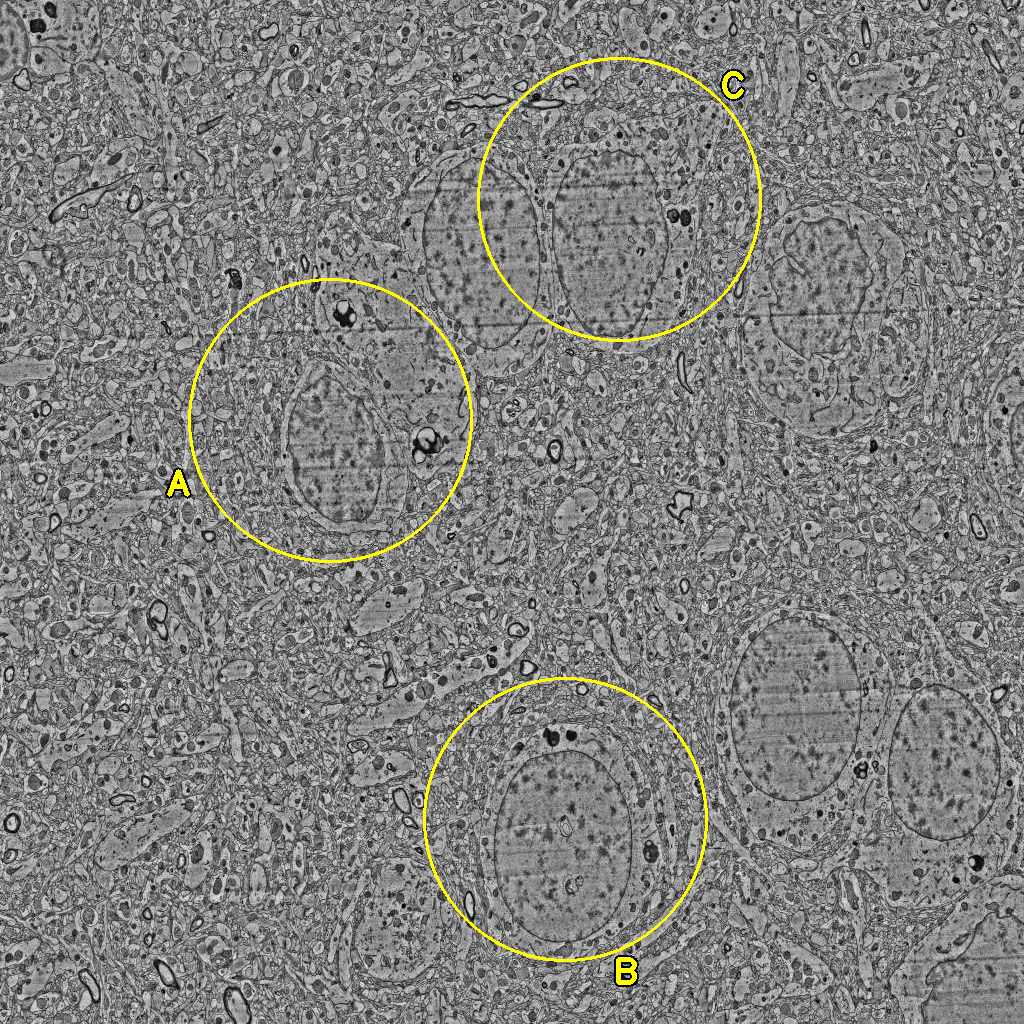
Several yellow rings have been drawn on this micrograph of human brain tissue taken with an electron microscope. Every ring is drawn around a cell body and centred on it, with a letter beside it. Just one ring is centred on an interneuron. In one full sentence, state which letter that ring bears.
At the centre of ring A is a cell of that kind.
